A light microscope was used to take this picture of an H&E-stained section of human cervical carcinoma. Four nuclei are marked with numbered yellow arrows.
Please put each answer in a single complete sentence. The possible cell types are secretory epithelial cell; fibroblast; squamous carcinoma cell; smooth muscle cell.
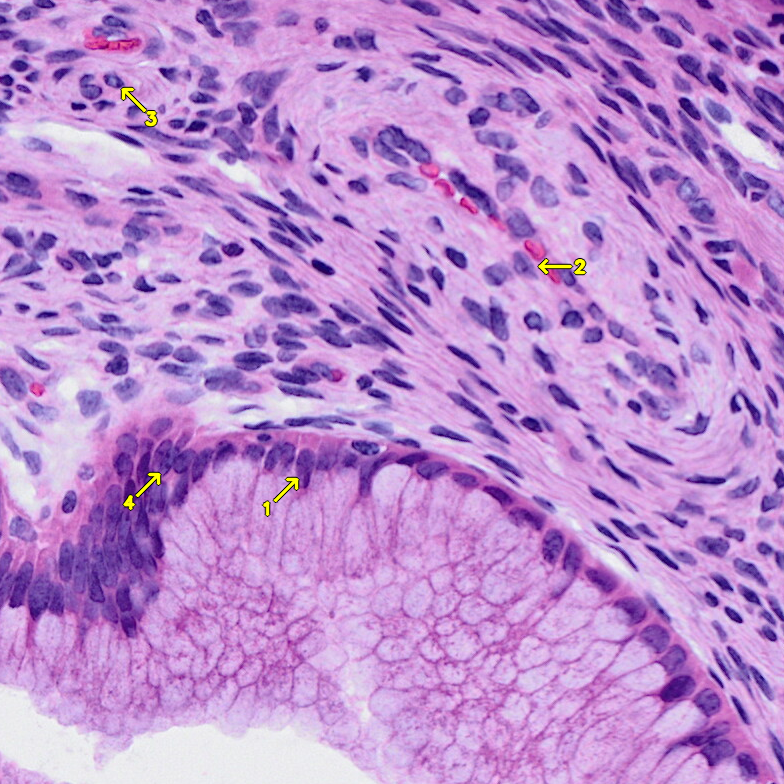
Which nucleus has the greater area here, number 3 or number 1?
At about 2.5 times the area of nucleus 3, nucleus 1 is the larger of the two.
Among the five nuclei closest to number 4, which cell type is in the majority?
Secretory epithelial cells account for more than half of the five nuclei nearest to number 4.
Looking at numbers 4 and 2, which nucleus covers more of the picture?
The larger nucleus is 2, at roughly 2.5 times the area of 4.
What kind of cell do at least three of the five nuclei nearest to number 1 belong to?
Secretory epithelial cells make up most of the five nuclei closest to number 1.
